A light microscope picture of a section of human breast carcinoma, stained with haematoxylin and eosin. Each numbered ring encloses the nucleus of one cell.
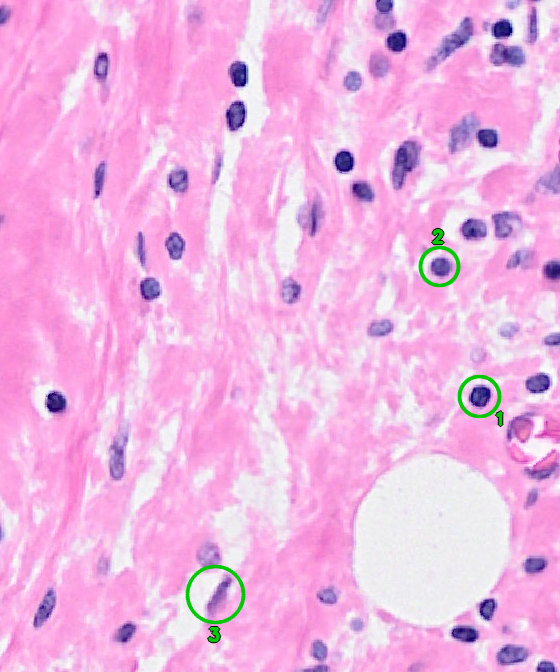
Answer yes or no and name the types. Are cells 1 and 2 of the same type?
Yes, as for cells 1 and 2, both are lymphocytes.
